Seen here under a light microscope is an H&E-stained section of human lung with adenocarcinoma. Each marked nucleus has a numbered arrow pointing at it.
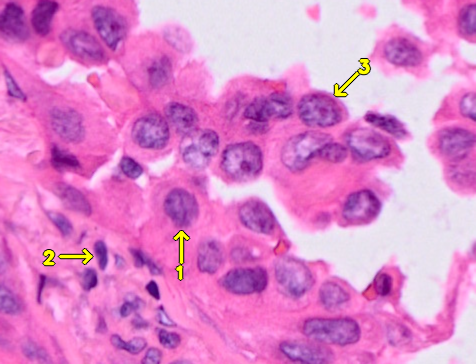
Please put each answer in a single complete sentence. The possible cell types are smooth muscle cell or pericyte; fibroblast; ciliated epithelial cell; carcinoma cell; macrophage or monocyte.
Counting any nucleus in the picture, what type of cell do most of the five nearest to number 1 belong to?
Most of the five nuclei nearest to number 1 are those of carcinoma cells.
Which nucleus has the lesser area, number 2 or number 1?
Nucleus 2 covers less area, with nucleus 1 about 3 times as large.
